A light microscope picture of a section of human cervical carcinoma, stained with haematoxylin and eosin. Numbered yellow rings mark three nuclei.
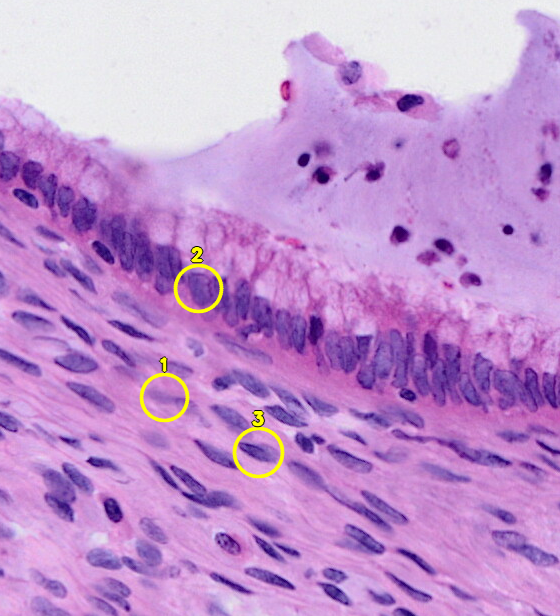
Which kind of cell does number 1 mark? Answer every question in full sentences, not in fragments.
To a fibroblast belongs the nucleus marked 1.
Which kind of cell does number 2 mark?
Belonging to a secretory epithelial cell is the nucleus that carries the number 2.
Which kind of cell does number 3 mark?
Identified by the number 3, the cell is a fibroblast.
